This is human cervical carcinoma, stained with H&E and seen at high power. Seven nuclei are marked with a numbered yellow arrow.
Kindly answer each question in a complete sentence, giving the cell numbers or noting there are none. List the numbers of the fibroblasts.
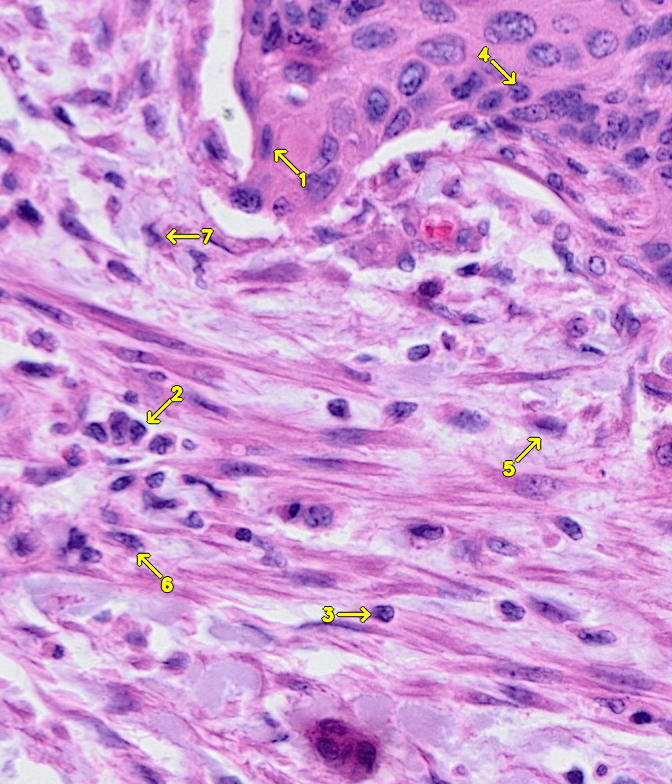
The cells to which the numbers 5 and 7 refer are fibroblasts.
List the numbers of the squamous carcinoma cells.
The cells with numbers 1 and 4 are squamous carcinoma cells by type.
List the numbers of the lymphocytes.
The cells given the numbers 2 and 3 are lymphocytes.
